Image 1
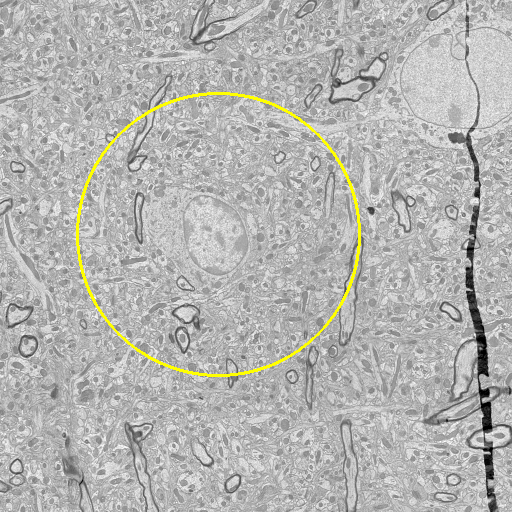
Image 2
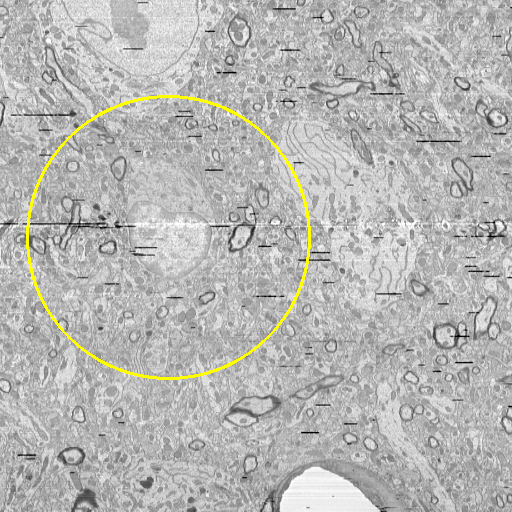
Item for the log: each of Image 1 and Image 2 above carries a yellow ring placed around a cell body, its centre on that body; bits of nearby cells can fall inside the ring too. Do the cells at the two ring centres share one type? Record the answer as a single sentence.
Yes, the two cells at the ring centres in Image 1 and Image 2 share one type.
